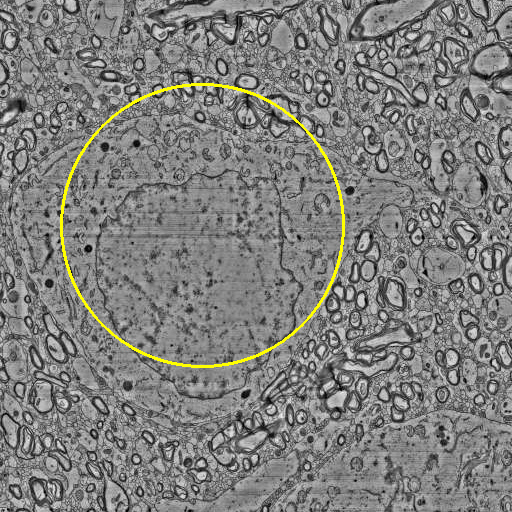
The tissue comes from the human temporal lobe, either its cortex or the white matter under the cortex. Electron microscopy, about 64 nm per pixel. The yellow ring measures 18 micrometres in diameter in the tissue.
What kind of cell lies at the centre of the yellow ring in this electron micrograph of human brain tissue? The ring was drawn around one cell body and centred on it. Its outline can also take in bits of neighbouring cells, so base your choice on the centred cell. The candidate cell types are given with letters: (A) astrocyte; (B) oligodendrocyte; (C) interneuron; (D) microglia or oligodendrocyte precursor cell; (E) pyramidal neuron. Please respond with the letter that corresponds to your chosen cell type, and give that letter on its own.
E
